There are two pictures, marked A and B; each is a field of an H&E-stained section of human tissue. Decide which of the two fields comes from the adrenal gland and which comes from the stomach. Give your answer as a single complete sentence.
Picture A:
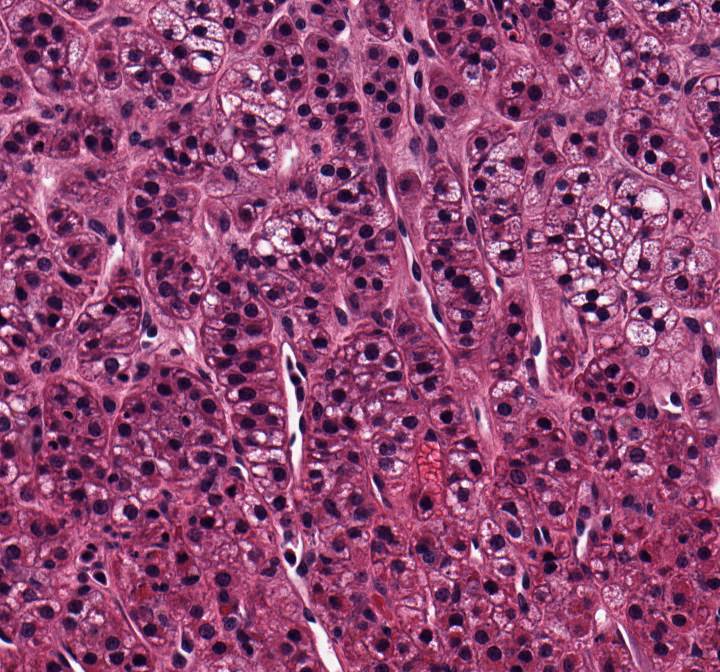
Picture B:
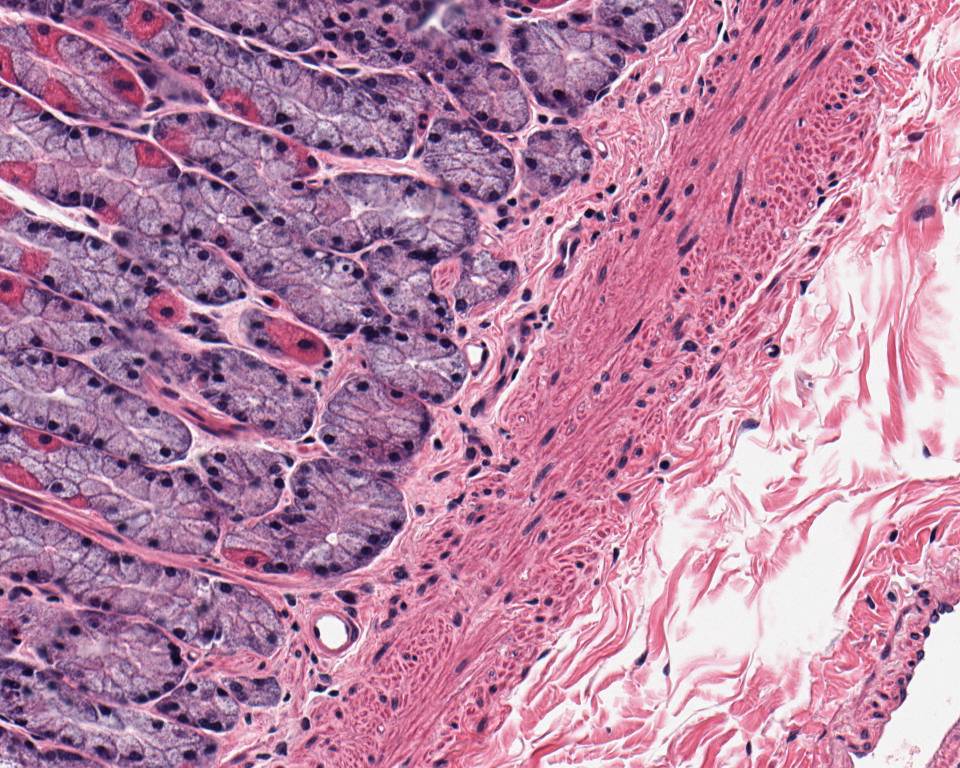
Picture B comes from the stomach, while picture A comes from the adrenal gland.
